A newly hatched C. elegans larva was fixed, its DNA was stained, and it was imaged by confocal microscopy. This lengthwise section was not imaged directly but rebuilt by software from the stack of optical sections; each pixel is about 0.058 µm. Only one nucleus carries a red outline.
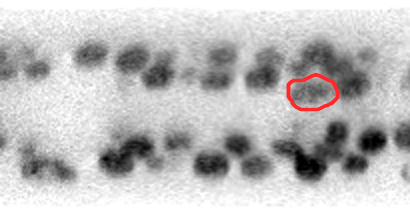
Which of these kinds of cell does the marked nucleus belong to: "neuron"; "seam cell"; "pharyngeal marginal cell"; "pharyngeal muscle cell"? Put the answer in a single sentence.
What is marked is the nucleus of a pharyngeal marginal cell.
